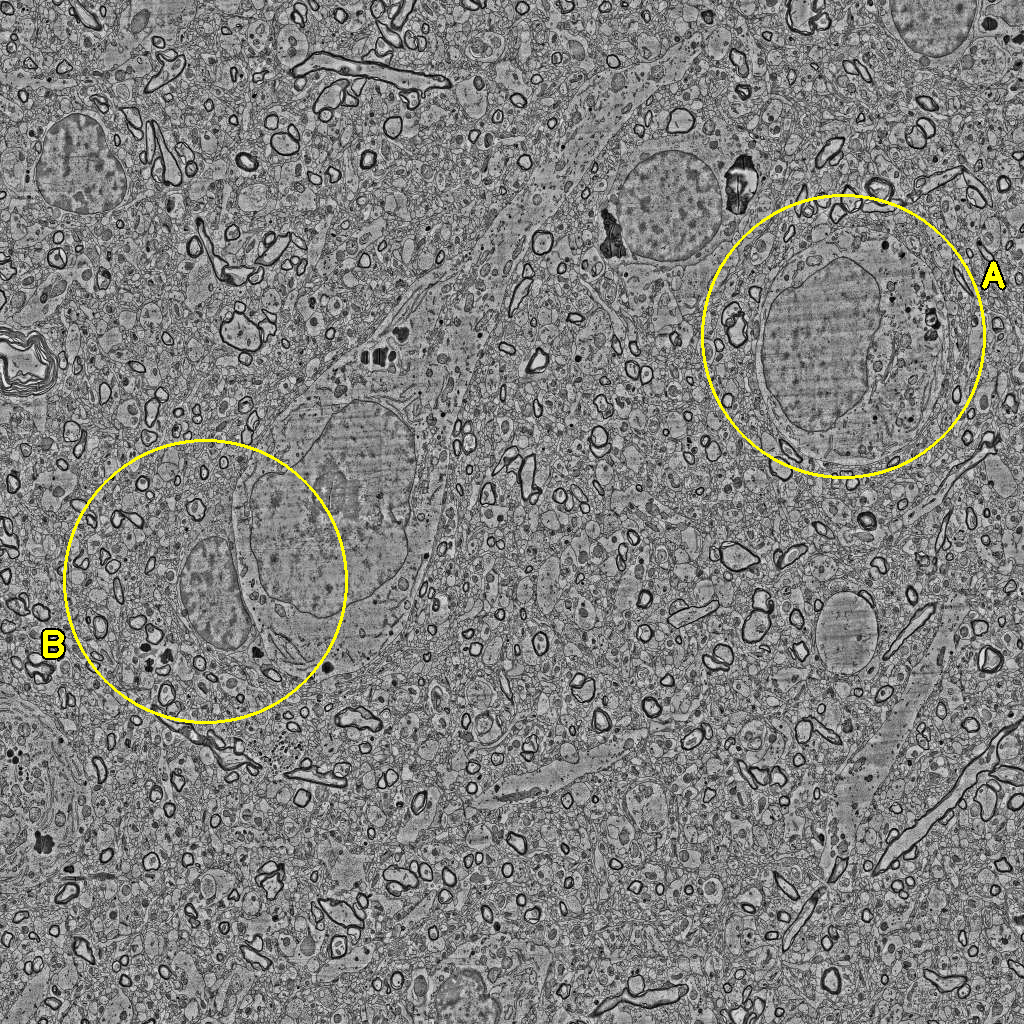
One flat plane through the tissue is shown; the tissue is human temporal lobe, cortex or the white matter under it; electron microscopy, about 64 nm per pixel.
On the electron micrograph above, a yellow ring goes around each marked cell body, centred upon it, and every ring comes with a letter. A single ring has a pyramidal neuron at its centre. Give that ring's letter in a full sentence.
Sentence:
The ring holding the cell asked for at its centre bears the letter A.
